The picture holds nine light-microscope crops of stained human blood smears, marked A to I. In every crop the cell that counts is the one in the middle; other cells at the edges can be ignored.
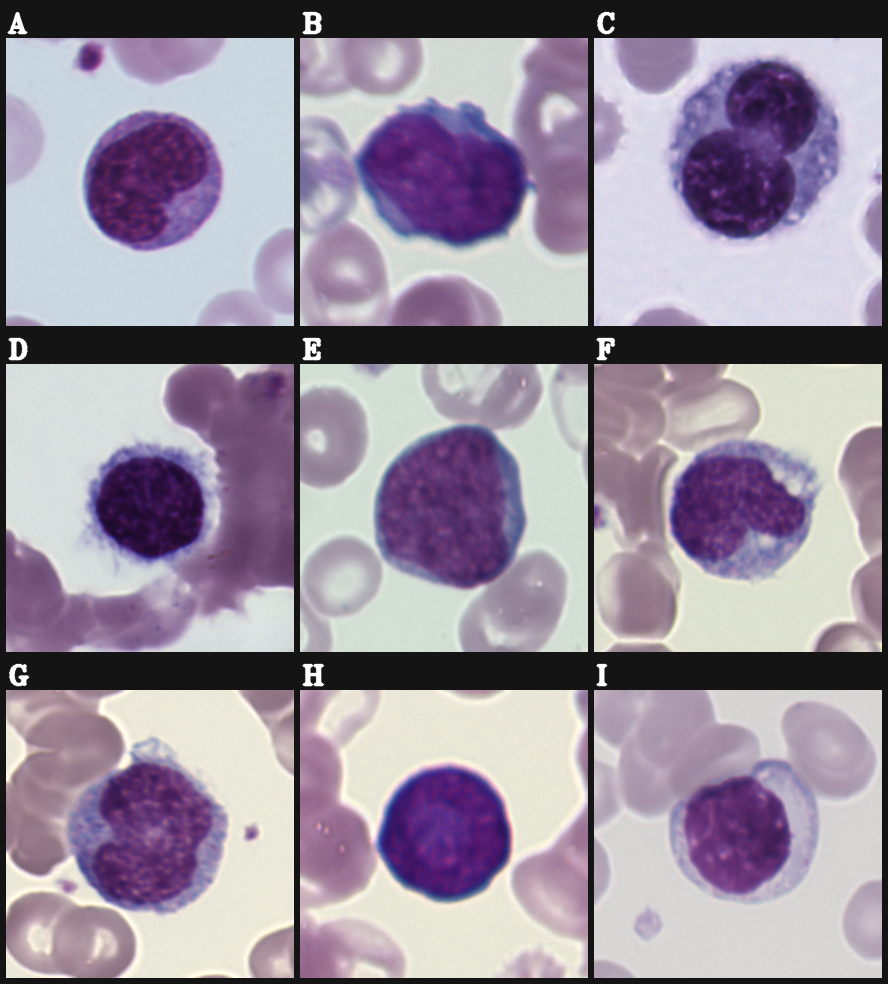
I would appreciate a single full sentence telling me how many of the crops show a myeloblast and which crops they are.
Present in three crops, B, E and H, are myeloblasts.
